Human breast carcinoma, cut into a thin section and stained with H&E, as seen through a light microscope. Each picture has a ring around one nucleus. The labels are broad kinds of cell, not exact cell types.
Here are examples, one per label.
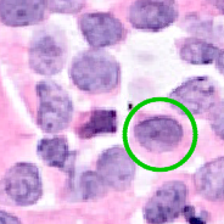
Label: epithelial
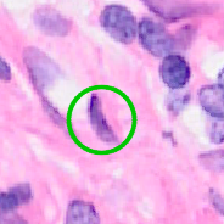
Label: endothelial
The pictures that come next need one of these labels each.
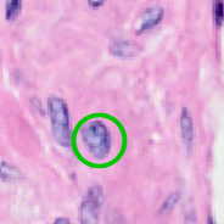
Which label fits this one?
endothelial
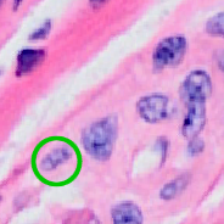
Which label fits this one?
endothelial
